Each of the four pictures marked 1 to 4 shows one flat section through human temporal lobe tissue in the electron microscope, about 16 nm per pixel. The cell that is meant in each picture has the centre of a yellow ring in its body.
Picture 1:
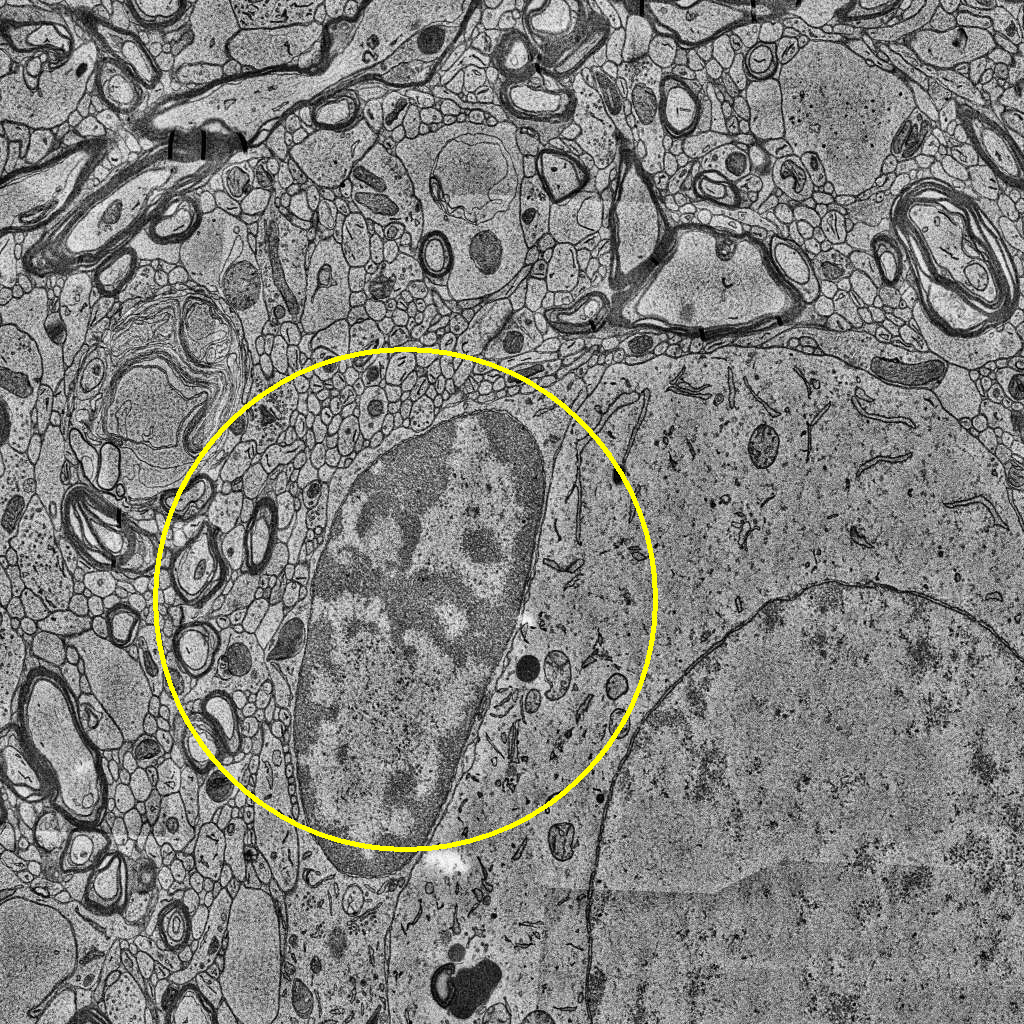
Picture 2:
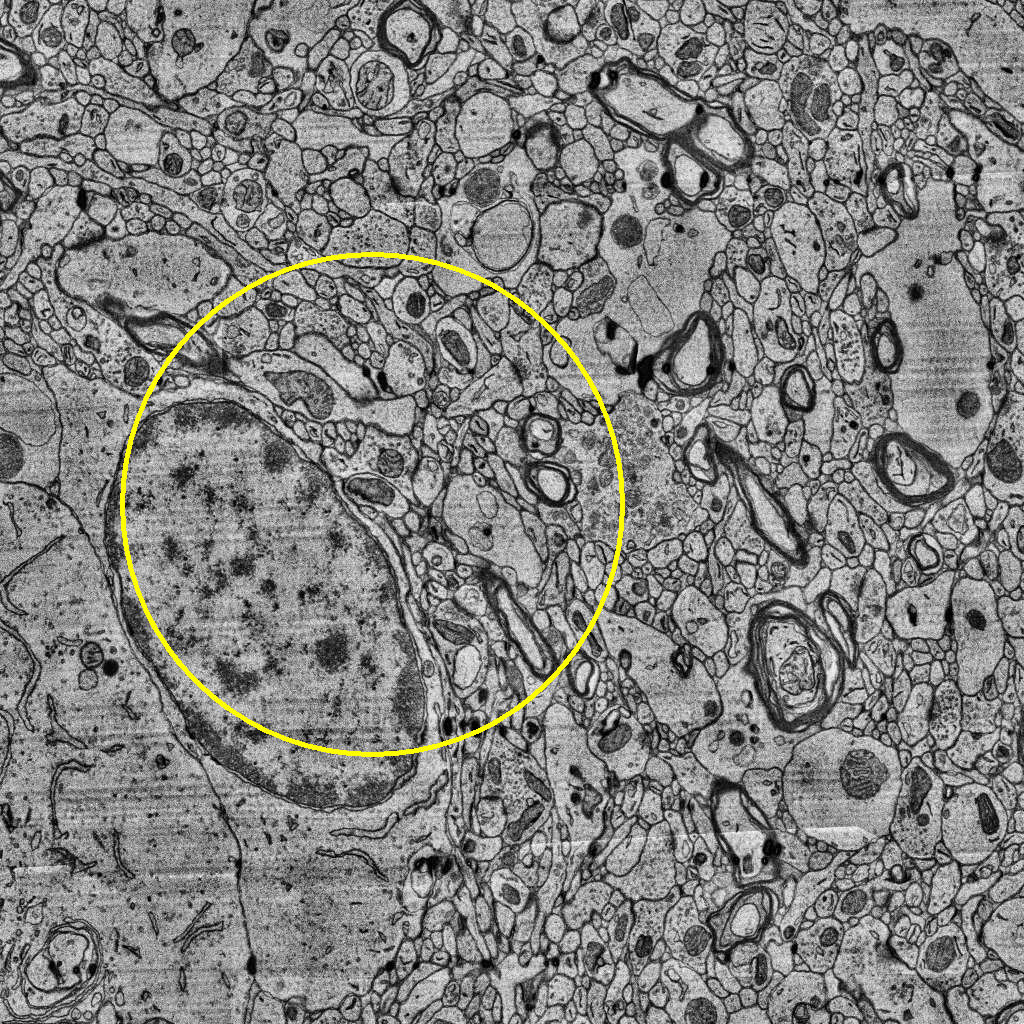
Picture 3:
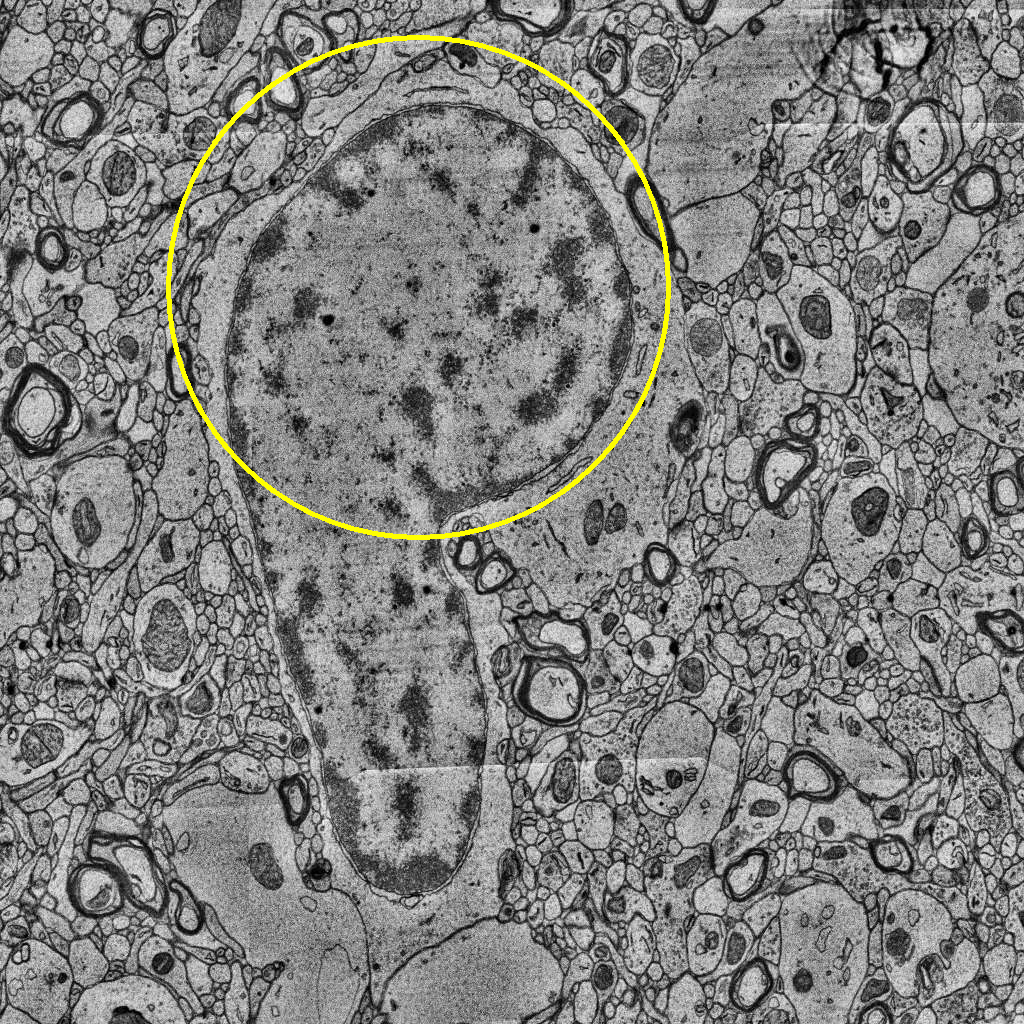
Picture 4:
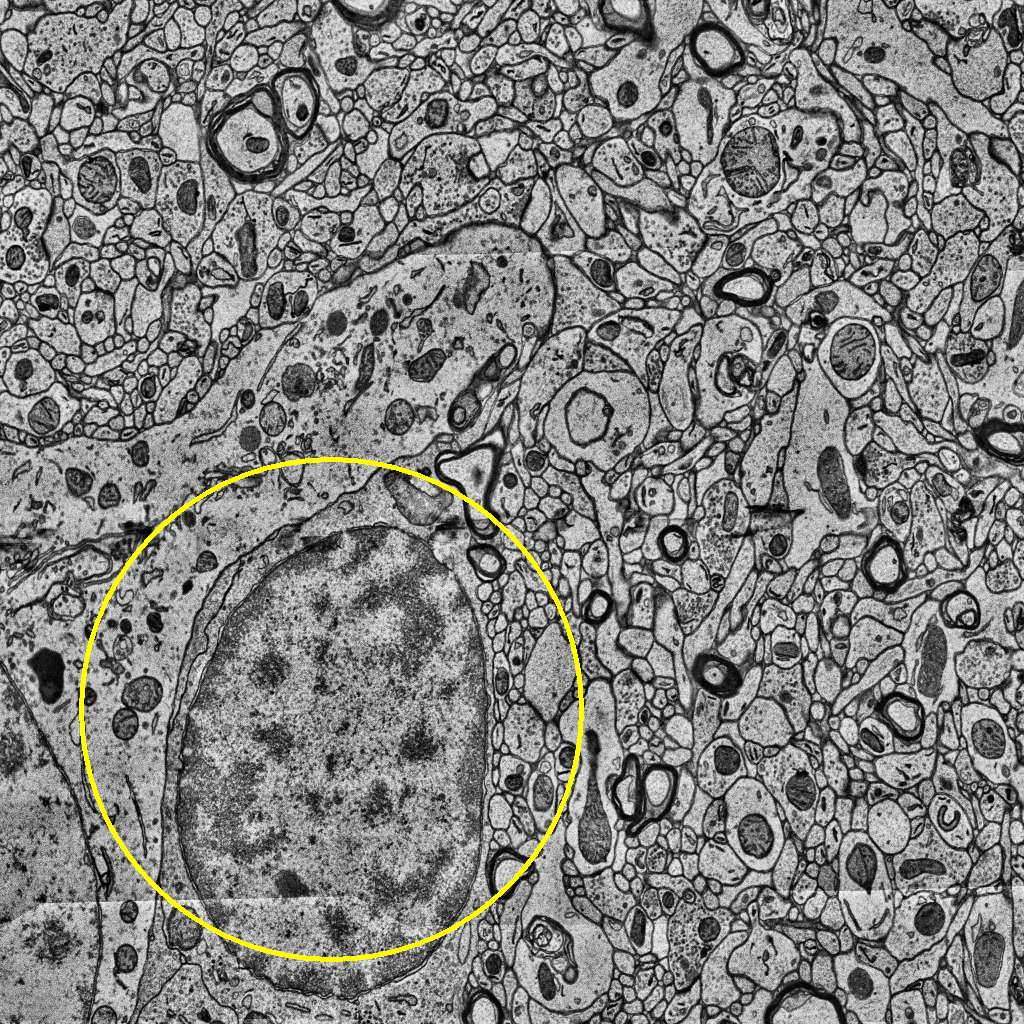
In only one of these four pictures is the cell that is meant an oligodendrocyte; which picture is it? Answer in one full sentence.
It is picture 4 that shows the oligodendrocyte.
